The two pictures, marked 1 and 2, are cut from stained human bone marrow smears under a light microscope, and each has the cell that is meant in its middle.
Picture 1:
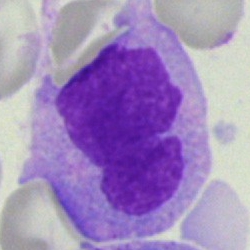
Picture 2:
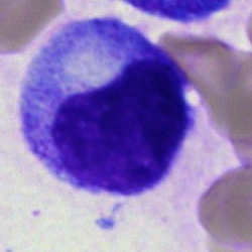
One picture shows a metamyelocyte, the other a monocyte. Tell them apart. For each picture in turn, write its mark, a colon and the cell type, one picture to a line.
1: monocyte
2: metamyelocyte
